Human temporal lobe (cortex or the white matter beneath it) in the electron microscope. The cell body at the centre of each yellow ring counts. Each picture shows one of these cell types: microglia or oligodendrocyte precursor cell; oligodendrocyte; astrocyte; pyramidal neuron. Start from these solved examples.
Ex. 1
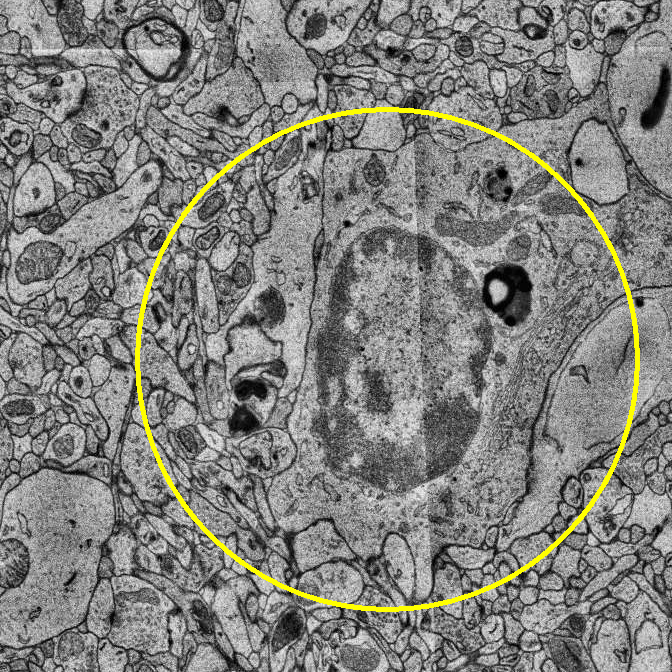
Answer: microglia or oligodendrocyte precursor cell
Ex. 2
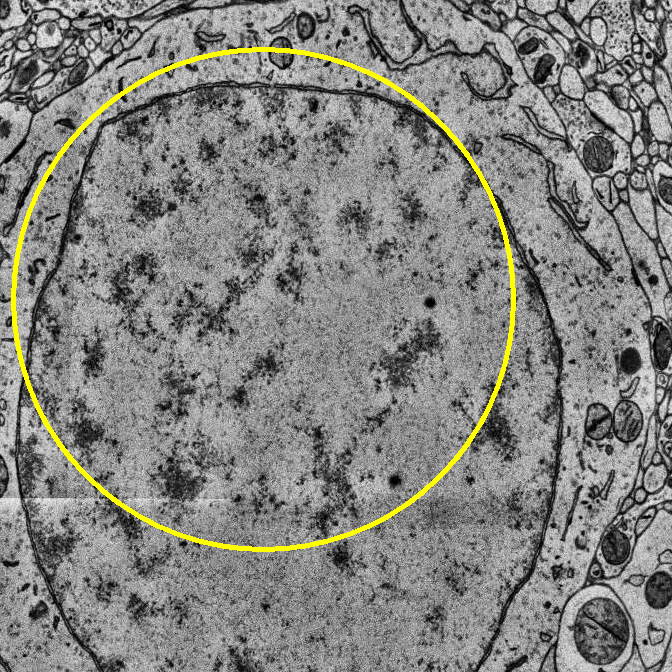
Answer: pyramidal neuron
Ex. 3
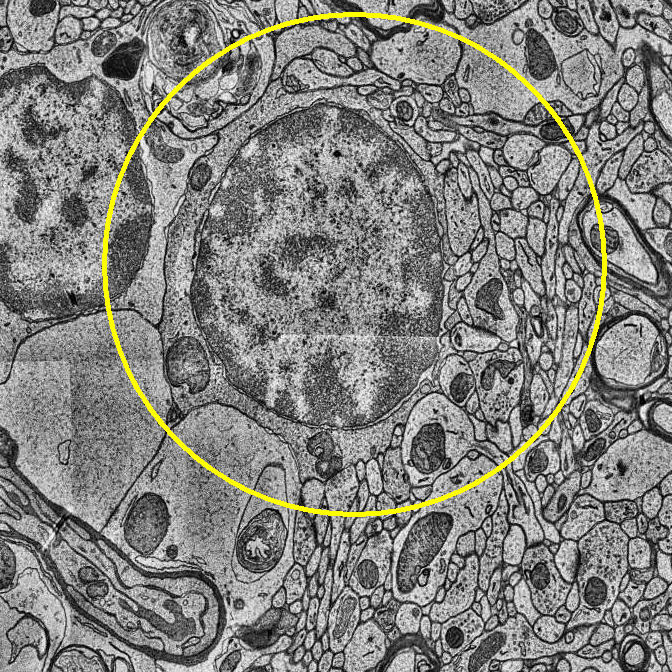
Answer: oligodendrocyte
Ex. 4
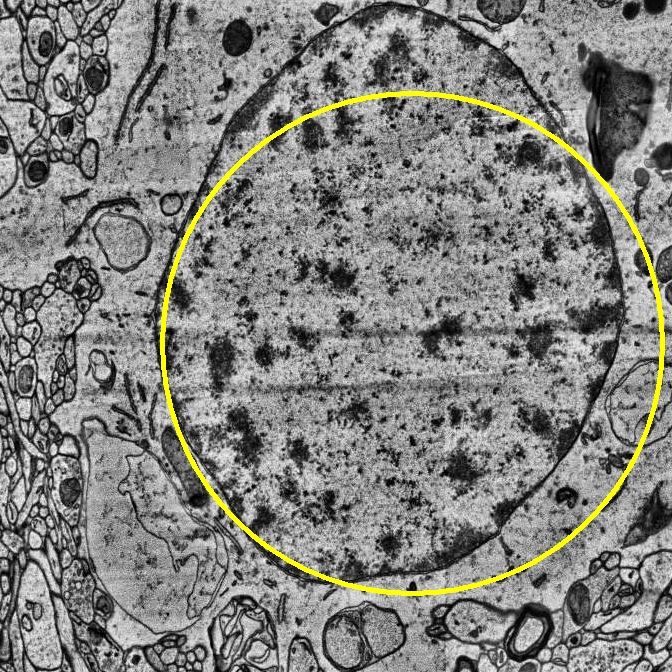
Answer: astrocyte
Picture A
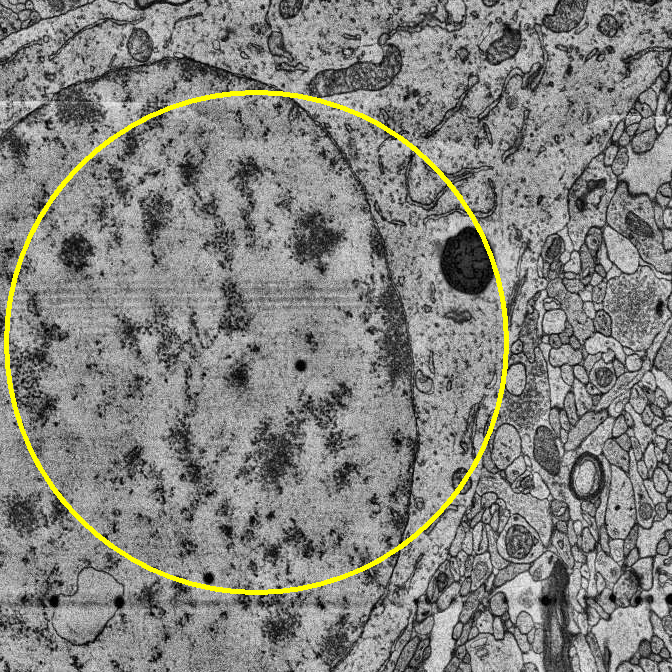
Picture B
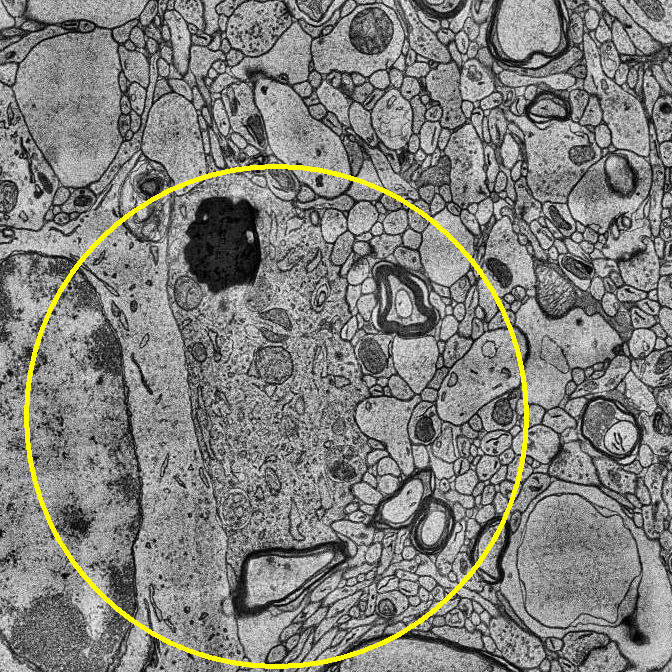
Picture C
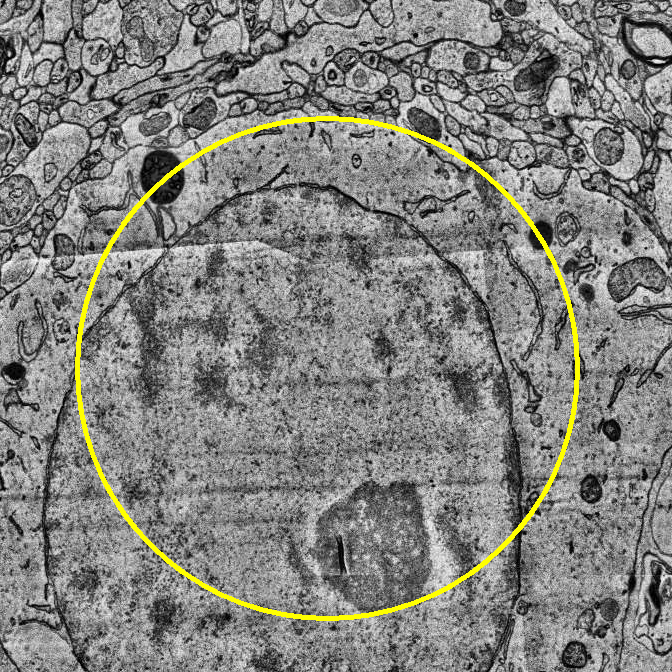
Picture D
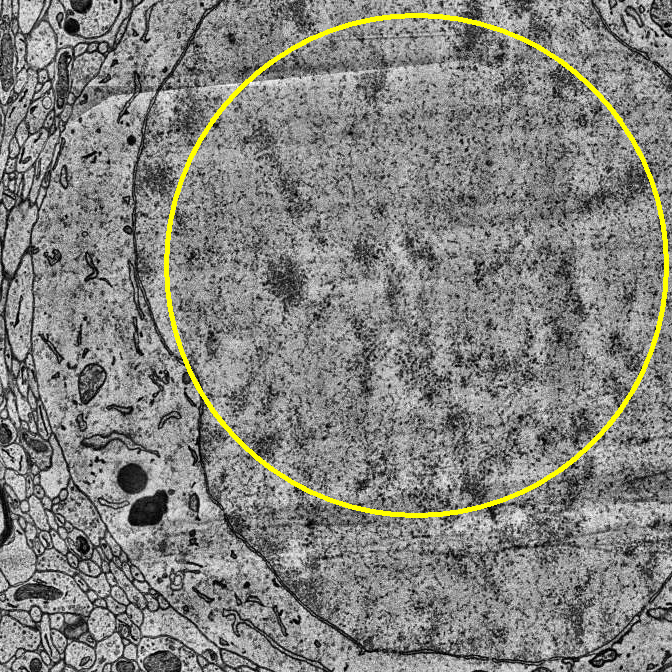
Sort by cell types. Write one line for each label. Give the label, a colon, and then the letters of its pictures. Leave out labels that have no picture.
oligodendrocyte: B
pyramidal neuron: A, C, D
